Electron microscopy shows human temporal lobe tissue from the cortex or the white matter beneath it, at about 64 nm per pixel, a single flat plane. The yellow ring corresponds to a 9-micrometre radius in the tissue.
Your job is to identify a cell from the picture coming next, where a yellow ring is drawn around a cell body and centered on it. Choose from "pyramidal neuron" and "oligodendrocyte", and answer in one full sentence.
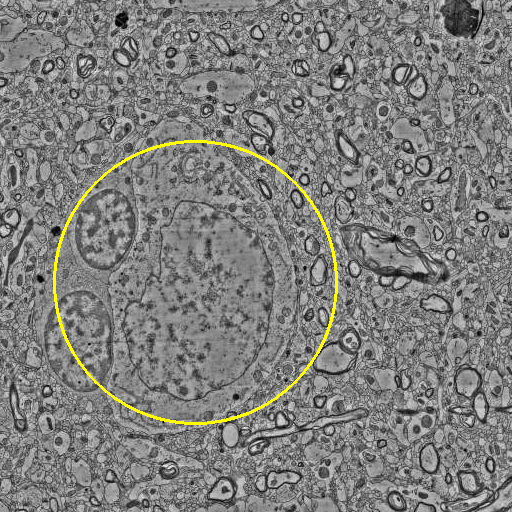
Centered in the yellow ring of the picture is the body of a pyramidal neuron.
